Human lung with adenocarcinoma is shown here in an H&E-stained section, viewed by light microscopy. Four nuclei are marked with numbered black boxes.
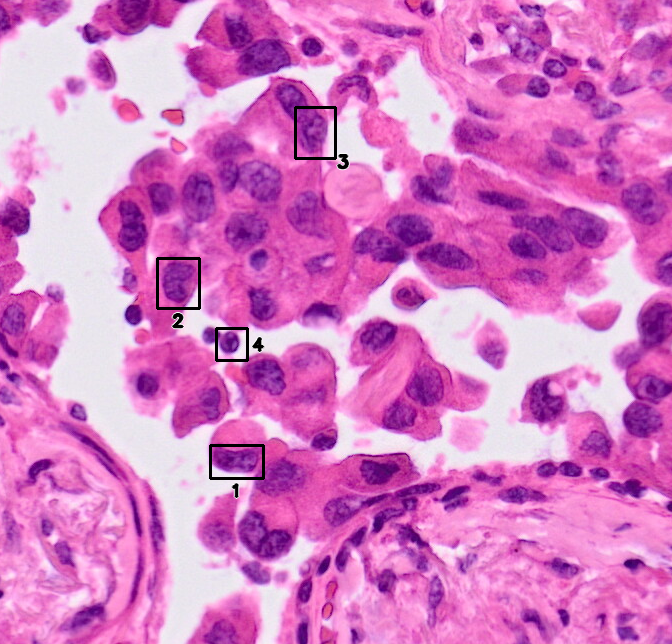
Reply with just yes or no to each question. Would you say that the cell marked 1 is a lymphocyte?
no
